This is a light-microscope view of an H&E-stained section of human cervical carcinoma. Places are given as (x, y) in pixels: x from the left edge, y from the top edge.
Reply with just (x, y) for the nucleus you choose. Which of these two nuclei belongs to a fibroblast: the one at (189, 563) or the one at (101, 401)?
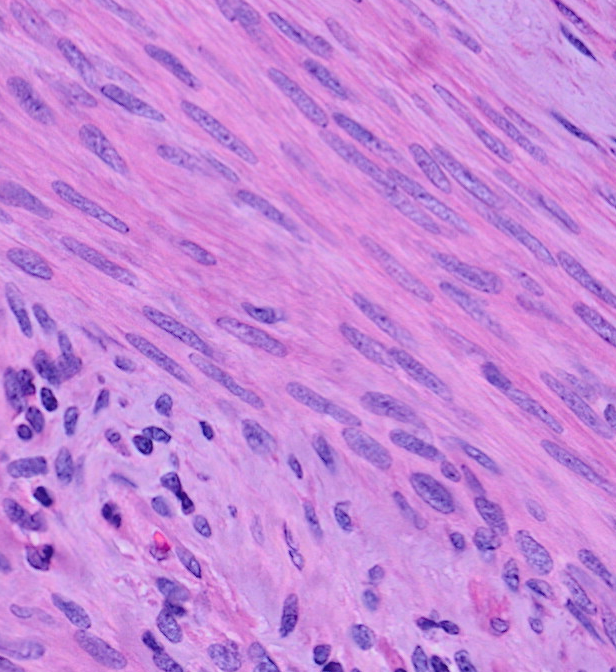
(101, 401)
